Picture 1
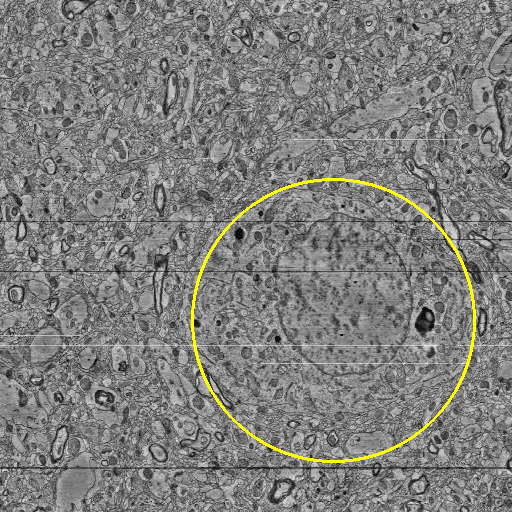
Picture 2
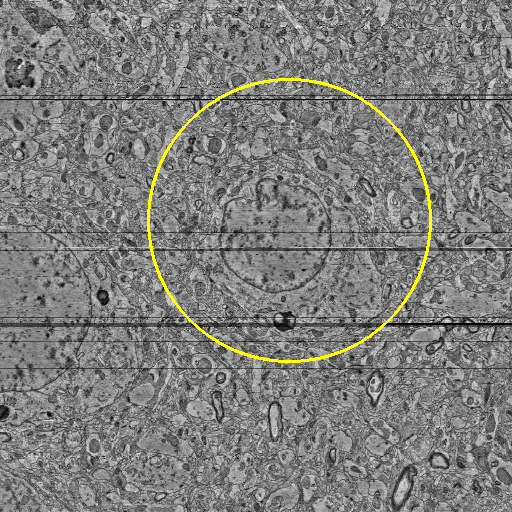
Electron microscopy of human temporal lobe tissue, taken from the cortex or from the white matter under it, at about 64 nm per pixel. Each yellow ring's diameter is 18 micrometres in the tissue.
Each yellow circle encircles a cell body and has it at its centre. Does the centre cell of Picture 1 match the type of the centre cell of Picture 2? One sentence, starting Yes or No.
No, the cell centred in Picture 1 and the one in Picture 2 have separate types.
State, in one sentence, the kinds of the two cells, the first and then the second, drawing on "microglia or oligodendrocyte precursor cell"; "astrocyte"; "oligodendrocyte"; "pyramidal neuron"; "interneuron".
The ring in the second picture is centred on a pyramidal neuron, the ring in the first on an interneuron.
